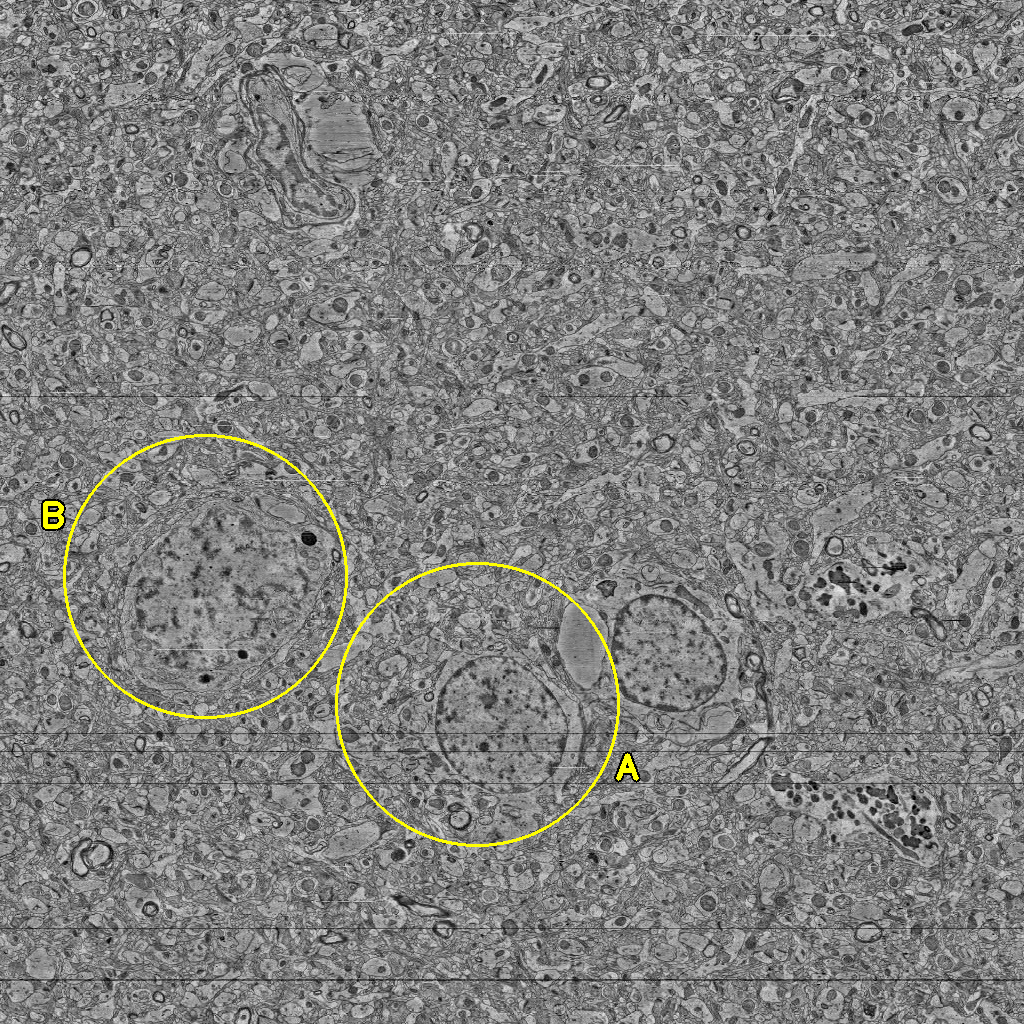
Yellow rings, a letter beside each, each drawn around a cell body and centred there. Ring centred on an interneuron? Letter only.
B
